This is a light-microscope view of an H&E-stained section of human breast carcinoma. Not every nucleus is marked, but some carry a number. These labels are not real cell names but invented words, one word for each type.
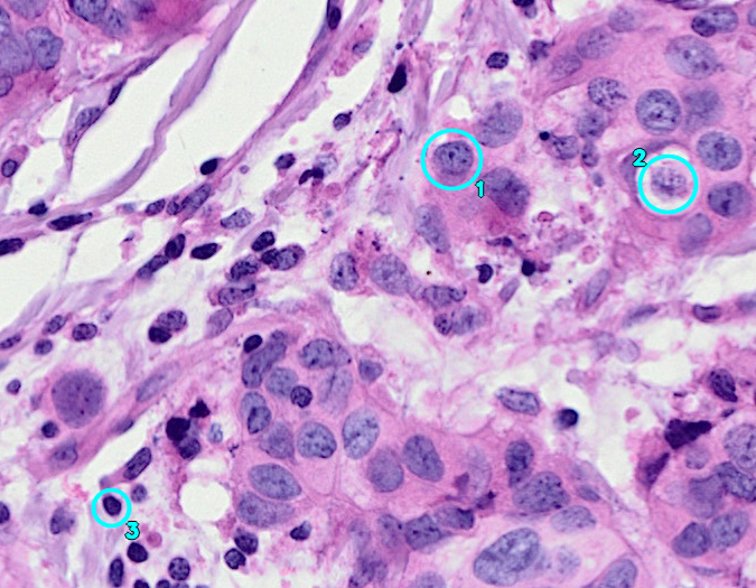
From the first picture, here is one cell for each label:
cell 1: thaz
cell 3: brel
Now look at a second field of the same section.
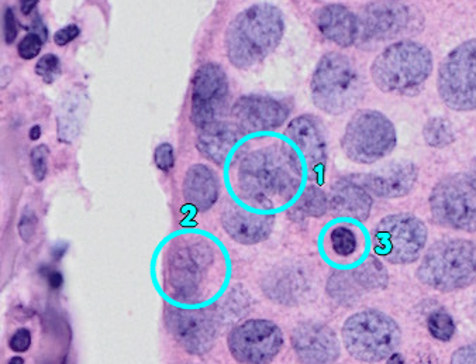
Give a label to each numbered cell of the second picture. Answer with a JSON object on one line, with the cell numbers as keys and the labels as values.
{"1": "thaz", "2": "thaz", "3": "brel"}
